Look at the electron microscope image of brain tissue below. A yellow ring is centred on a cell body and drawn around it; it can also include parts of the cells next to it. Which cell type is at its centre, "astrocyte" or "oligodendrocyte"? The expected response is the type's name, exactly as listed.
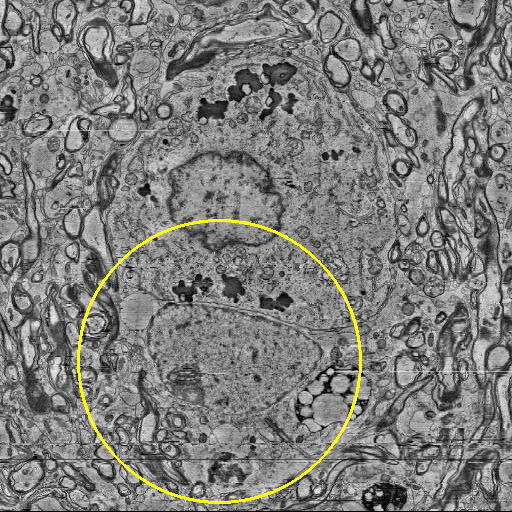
astrocyte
